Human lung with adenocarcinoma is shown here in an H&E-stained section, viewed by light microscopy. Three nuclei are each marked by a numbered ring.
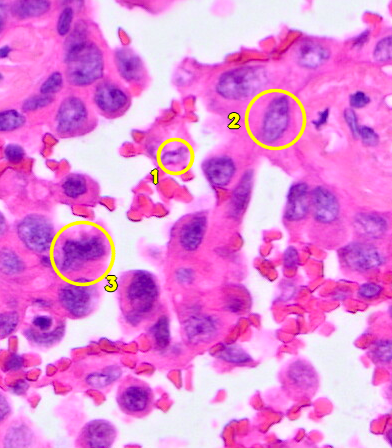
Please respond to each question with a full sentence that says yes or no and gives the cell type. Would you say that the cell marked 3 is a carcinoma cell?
Yes, kindly take note: the cell numbered 3 is a carcinoma cell.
